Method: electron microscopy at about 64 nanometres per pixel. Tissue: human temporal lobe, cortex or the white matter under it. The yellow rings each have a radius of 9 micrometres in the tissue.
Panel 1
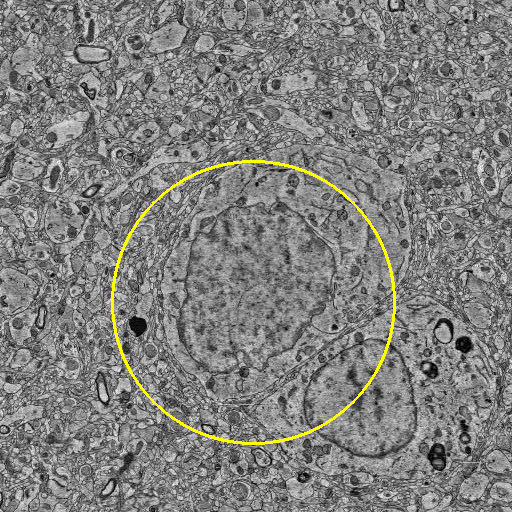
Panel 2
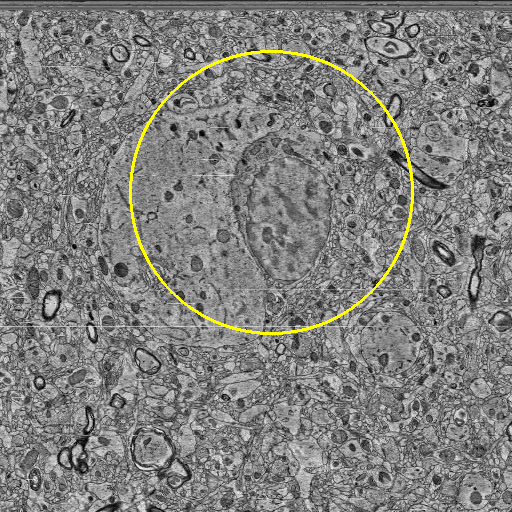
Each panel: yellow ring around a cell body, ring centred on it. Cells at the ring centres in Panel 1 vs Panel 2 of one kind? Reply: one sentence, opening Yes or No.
No, Panel 1 and Panel 2 have cells of two kinds at the ring centres.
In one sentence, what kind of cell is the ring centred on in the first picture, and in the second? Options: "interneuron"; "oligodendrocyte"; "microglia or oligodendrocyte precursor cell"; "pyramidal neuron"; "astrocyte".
The cell at the centre of the second ring is an oligodendrocyte; the first ring's cell is an interneuron.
